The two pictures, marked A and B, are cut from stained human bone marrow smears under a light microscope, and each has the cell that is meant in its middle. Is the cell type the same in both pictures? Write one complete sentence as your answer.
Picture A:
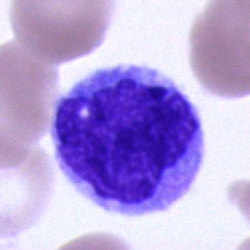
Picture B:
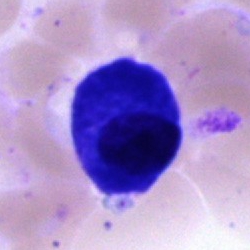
No, picture A shows a monocyte and picture B shows a plasma cell.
